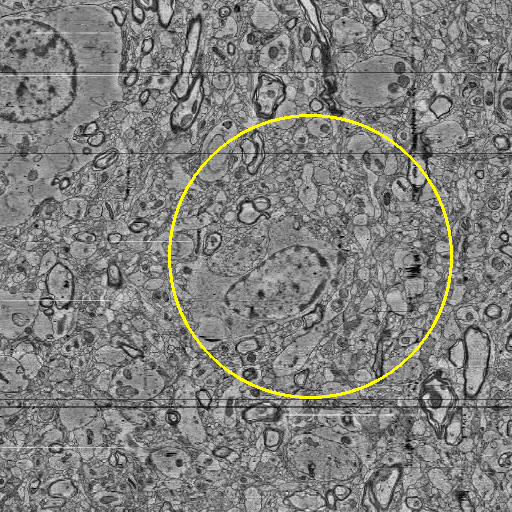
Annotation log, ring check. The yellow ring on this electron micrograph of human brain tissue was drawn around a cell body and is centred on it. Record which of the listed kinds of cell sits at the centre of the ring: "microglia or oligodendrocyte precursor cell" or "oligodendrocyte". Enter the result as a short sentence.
The cell at the centre of the ring is a microglial cell or oligodendrocyte precursor cell.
